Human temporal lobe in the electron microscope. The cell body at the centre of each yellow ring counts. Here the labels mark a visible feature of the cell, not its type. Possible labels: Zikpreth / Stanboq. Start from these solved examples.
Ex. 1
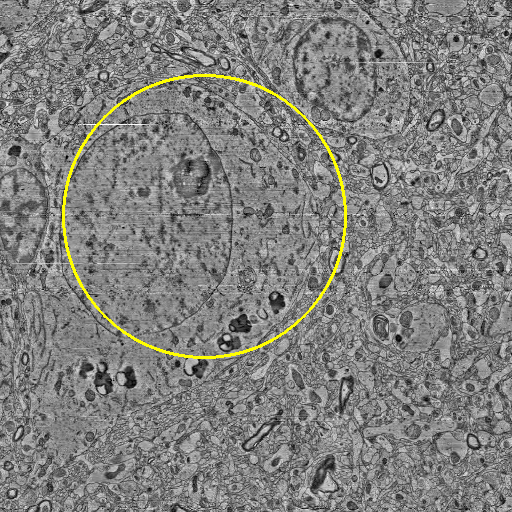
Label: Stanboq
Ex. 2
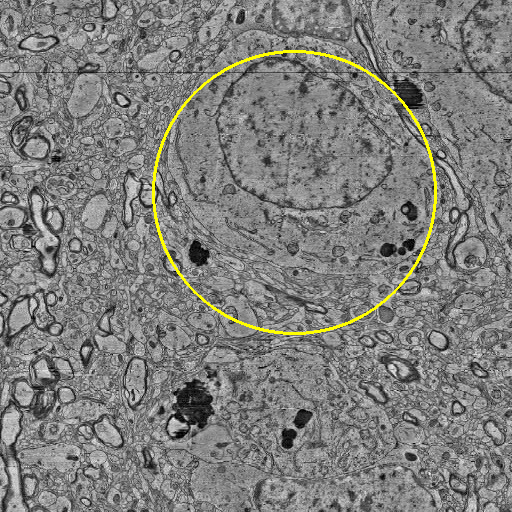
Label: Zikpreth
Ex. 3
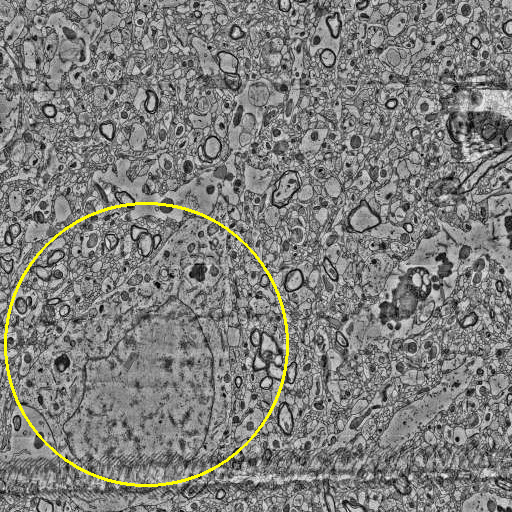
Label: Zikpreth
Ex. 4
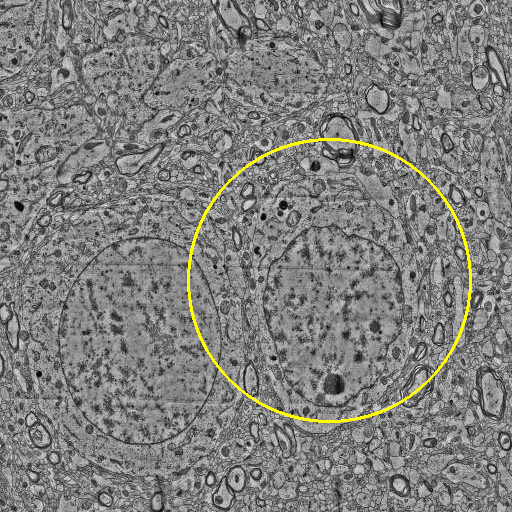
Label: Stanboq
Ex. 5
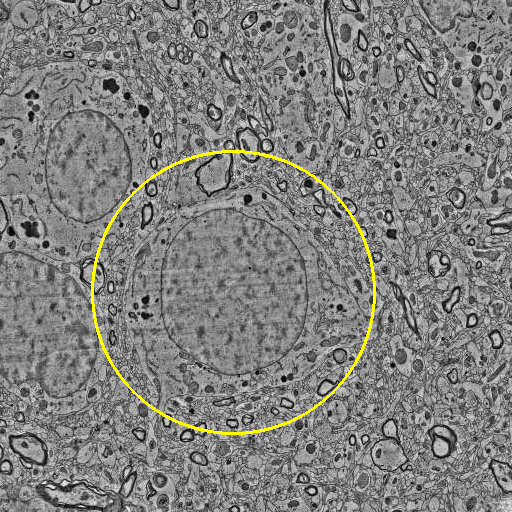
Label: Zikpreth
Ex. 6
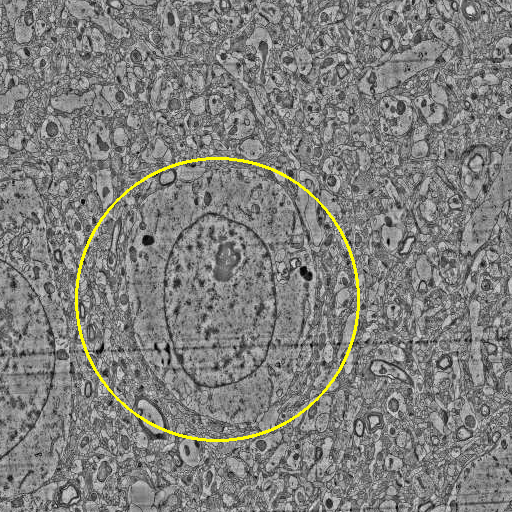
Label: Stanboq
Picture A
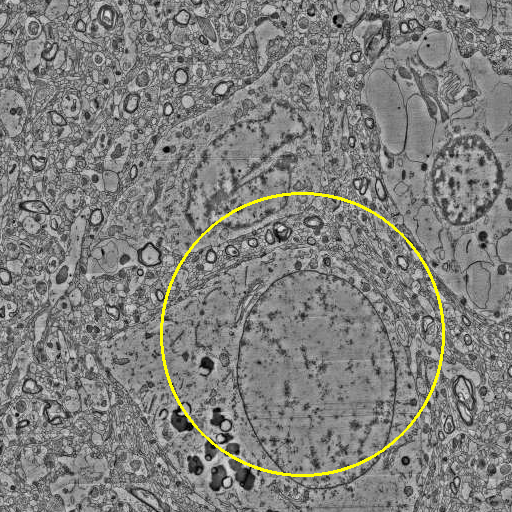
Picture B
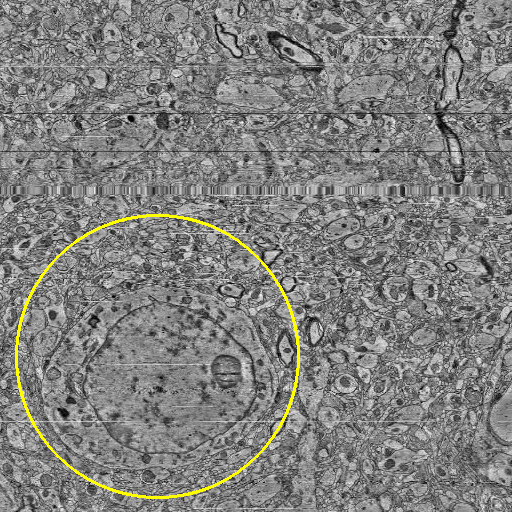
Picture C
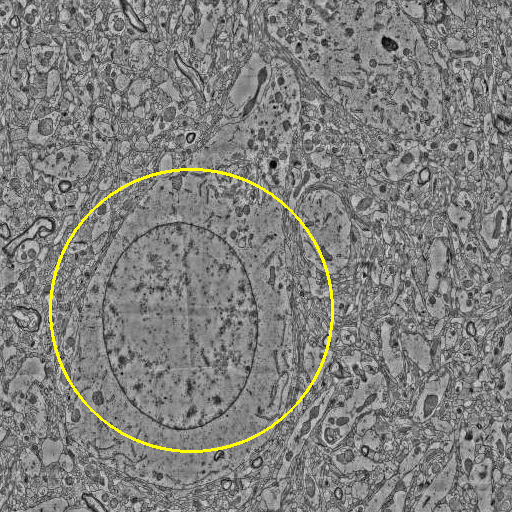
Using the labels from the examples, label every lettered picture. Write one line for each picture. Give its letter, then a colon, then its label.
A: Zikpreth
B: Stanboq
C: Zikpreth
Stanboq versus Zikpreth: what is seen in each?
Stanboq: nucleolus seen; Zikpreth: no nucleolus seen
